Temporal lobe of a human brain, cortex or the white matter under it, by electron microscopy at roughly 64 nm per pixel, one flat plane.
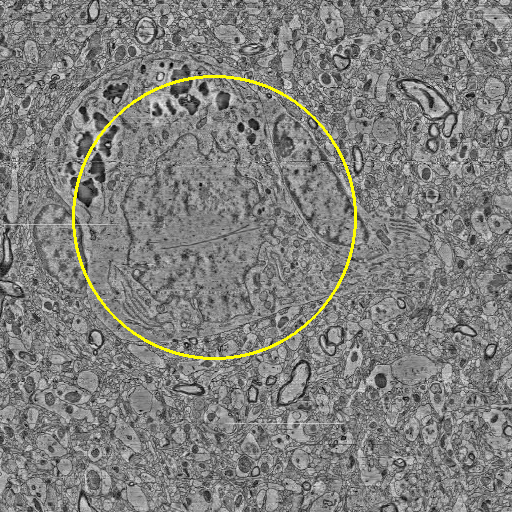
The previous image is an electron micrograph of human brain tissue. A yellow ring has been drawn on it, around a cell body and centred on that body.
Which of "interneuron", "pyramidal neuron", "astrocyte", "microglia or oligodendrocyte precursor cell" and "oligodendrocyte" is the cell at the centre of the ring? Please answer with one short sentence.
The cell body at the centre of the ring belongs to an interneuron.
